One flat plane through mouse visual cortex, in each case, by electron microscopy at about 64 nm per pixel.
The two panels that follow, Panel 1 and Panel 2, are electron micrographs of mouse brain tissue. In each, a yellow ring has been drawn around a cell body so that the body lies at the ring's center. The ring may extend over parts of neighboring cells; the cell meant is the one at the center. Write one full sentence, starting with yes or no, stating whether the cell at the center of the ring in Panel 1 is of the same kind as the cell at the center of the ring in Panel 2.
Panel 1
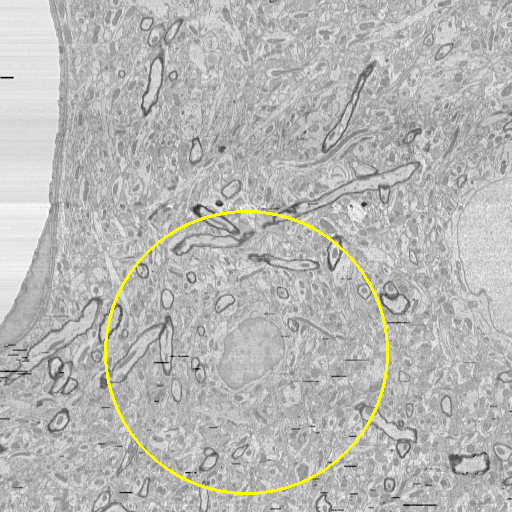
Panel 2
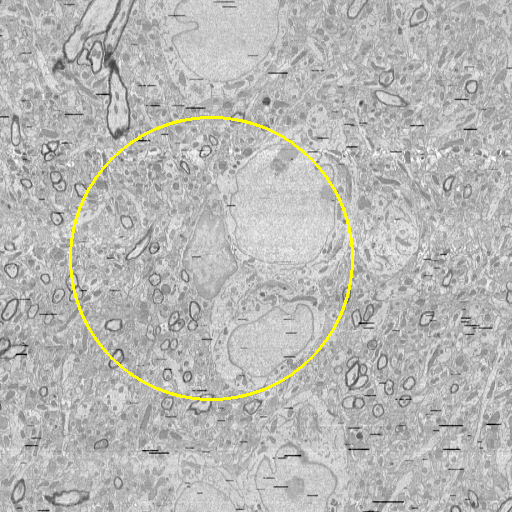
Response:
Yes, the cells in both panels are of the same kind.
